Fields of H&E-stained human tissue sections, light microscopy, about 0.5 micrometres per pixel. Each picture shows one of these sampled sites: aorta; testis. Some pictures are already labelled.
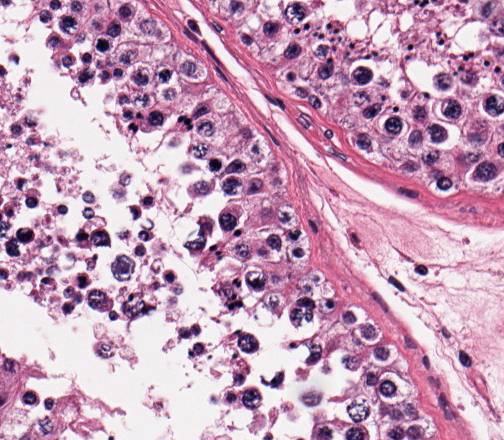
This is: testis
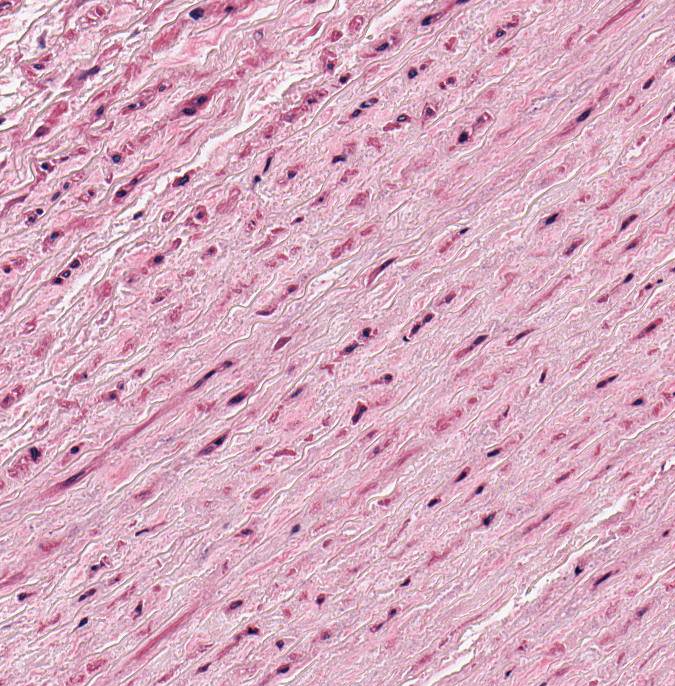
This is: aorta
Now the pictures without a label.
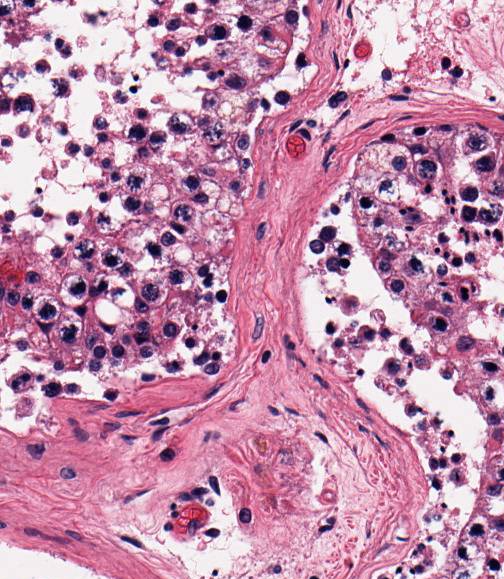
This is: testis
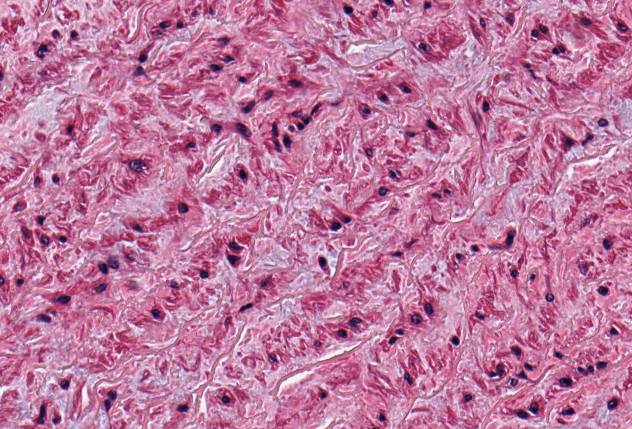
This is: aorta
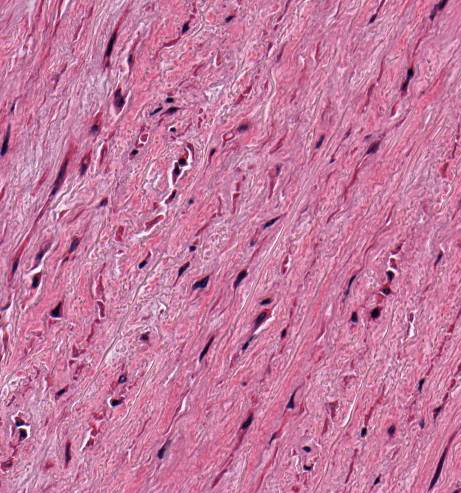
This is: aorta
